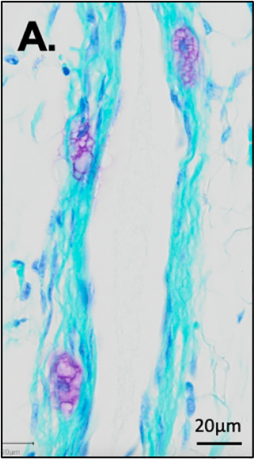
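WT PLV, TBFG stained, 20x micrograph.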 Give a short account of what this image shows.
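This is a thin-walled lymphatic vessel running vertically, its wide clear lumen flanked by walls stained blue-green with elongated dark nuclei. Embedded within the wall itself, rather than in the surrounding tissue, sit several oval mast cells filled with coarse purple-violet granules.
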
